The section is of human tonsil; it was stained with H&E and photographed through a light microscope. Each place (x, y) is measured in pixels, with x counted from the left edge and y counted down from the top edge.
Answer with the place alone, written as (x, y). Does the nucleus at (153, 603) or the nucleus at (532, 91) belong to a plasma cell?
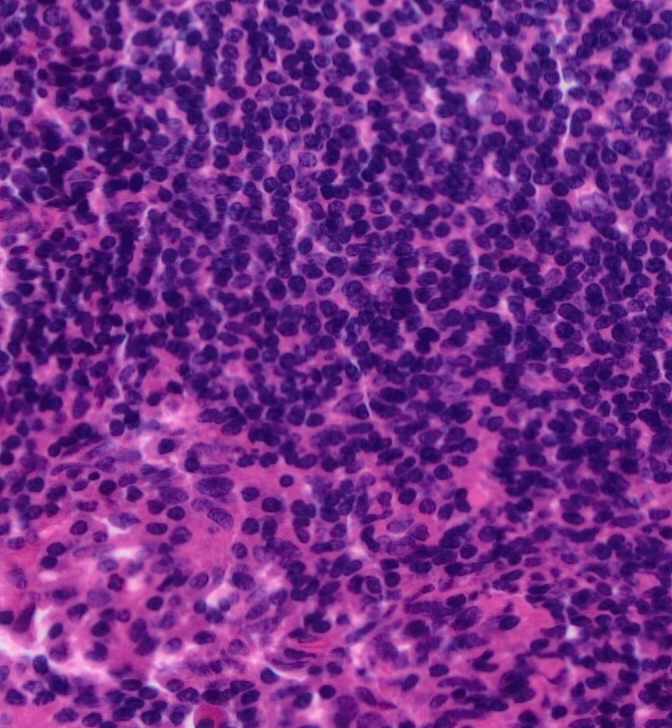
(153, 603)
